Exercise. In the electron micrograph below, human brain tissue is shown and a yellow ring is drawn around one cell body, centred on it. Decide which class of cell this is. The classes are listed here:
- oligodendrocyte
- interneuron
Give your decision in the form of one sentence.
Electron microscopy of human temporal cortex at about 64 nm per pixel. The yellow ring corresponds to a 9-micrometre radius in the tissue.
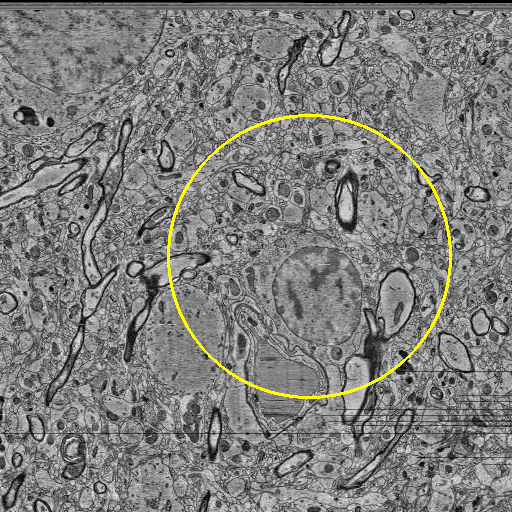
The cell body marked by the ring belongs to an oligodendrocyte.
